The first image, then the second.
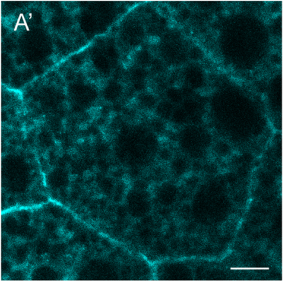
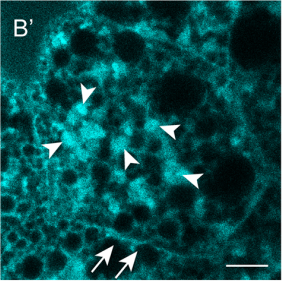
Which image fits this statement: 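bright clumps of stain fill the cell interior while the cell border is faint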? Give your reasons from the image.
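Second image: bright cyan clumps inside the cell, faint borders.
Answer: the second image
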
